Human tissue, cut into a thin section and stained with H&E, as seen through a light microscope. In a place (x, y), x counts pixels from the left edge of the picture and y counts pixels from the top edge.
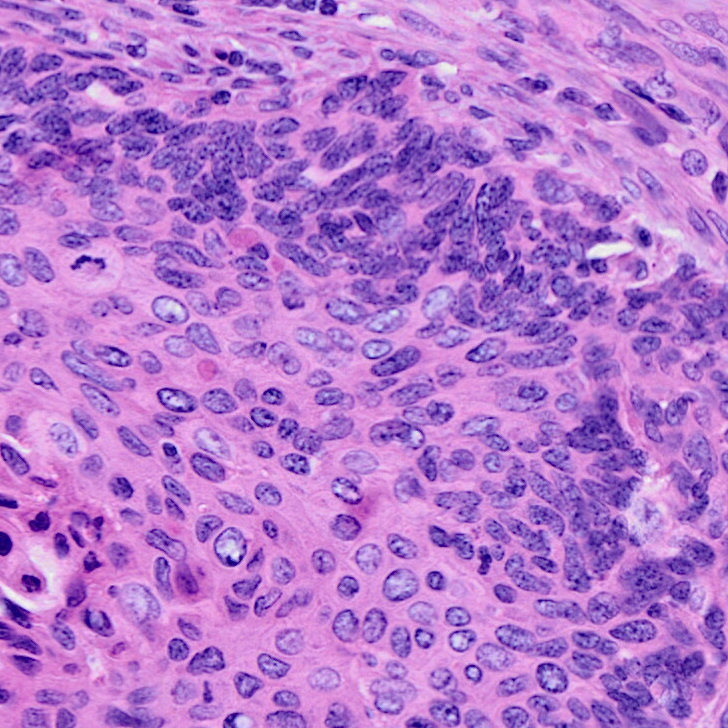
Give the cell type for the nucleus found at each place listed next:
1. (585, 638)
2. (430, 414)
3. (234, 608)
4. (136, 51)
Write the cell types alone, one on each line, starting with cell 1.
squamous carcinoma cell
squamous carcinoma cell
squamous carcinoma cell
lymphocyte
